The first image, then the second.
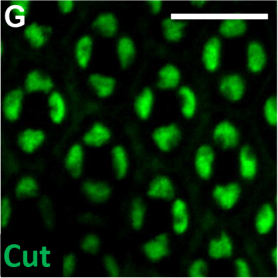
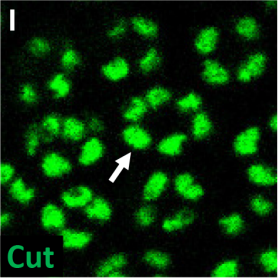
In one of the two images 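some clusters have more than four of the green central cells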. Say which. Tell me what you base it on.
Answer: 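The second image. Second image: several green clusters hold five or six nuclei and are irregular. First image: every green cluster holds four nuclei in a regular lattice.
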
